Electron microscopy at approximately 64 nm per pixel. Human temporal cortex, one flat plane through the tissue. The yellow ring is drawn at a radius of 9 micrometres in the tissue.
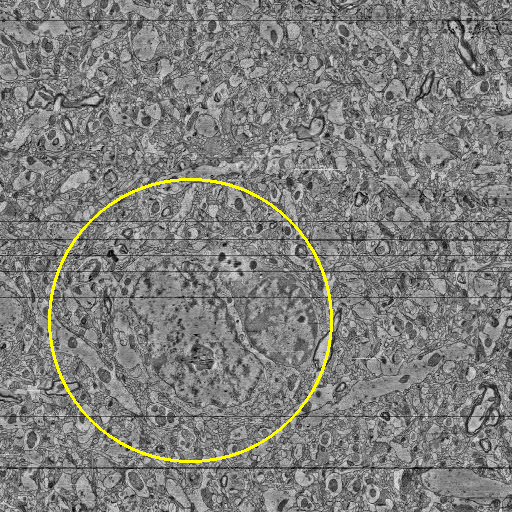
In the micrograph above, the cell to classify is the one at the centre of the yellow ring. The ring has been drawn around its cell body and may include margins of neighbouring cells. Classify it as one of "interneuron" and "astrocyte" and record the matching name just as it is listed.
interneuron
